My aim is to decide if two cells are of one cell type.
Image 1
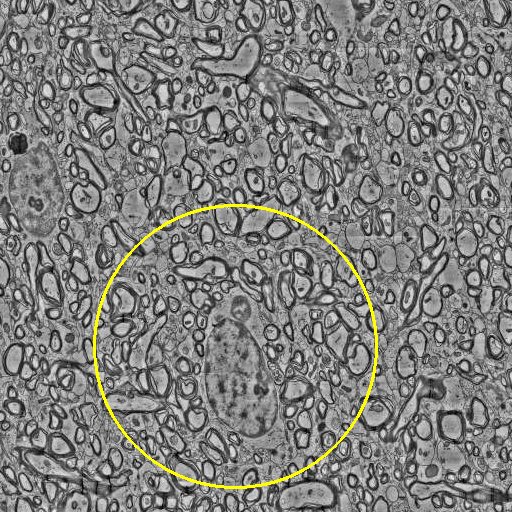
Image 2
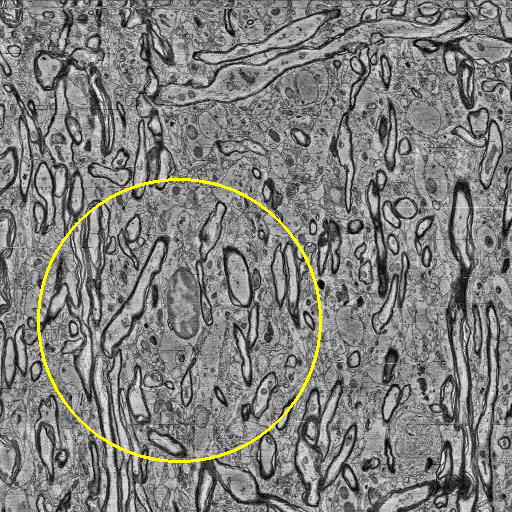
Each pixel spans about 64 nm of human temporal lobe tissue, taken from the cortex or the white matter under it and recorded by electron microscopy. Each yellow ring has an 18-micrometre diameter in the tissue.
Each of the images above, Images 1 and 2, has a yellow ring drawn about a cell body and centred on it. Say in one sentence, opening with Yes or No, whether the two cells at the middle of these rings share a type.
Yes, in Images 1 and 2 the cells at the middle of the rings share one type.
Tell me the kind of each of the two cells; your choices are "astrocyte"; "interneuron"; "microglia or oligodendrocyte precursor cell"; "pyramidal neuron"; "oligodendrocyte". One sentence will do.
Each cell, in the first picture and the second, is a microglial cell or oligodendrocyte precursor cell.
